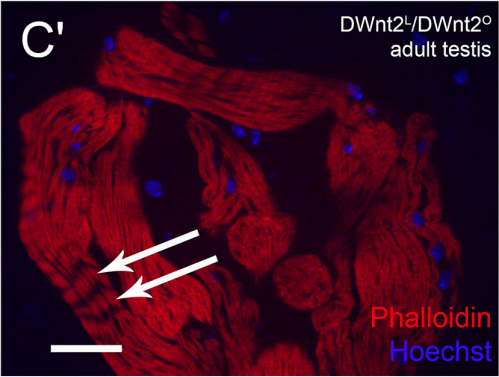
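Some bundles are cut across and appear as rounded red profiles, others run in different directions. Within some bundles faint cross-banding can be made out. Blue nuclei are scattered along and between the bundles.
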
